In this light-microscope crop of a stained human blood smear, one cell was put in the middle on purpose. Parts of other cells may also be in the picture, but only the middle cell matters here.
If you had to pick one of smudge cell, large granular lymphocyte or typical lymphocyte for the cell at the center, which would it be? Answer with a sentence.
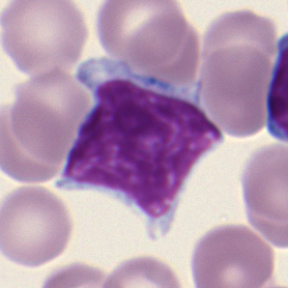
At the middle of the frame sits a typical lymphocyte.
